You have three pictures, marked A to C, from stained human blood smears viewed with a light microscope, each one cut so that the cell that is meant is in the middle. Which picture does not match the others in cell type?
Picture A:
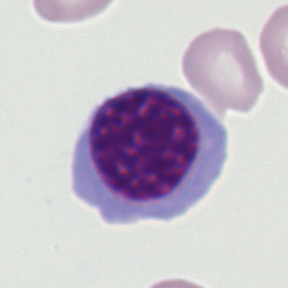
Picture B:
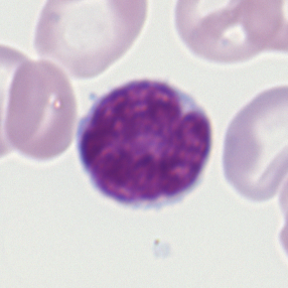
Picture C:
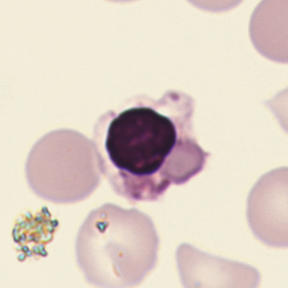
B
